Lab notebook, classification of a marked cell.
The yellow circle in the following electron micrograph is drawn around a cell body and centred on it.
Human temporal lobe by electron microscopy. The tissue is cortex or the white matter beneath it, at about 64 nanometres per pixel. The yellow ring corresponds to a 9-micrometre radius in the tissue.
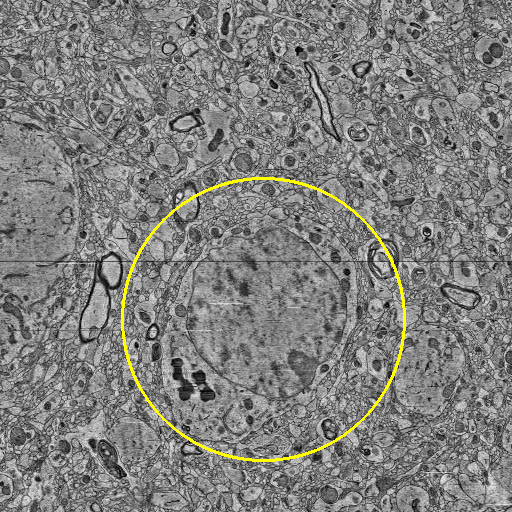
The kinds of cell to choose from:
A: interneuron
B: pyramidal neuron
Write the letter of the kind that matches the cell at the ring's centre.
A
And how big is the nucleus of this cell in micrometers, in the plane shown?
About 11 micrometres across in this plane.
